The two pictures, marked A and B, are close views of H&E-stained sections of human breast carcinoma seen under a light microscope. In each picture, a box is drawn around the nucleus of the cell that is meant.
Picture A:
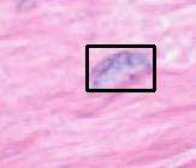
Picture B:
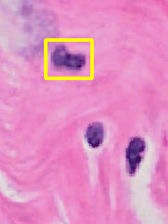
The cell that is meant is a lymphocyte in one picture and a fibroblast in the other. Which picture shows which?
A: fibroblast
B: lymphocyte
